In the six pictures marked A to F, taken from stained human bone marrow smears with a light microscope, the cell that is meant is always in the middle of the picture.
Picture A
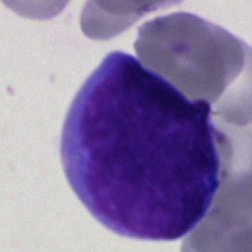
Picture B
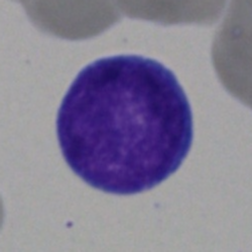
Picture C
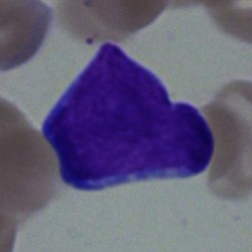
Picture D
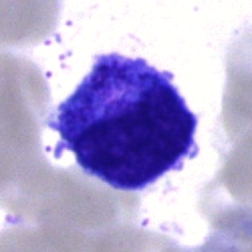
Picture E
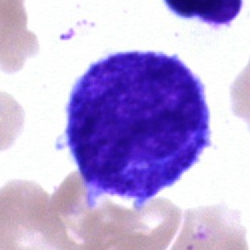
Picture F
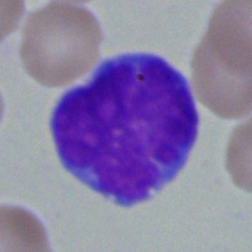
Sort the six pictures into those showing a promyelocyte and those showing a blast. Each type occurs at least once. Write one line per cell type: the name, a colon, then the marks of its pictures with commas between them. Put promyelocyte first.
promyelocyte: D, E
blast: A, B, C, F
